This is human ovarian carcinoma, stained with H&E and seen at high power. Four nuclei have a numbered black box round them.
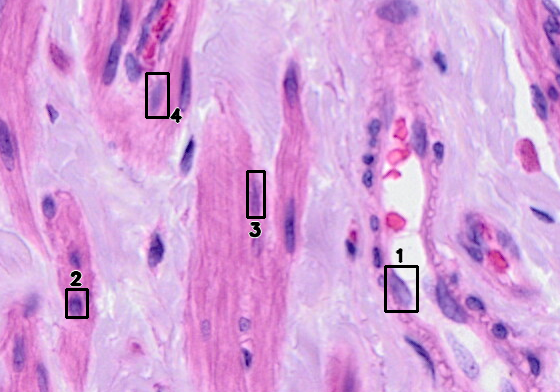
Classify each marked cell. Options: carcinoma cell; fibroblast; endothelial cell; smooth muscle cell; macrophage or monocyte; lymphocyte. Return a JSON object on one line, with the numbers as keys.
{"1": "endothelial cell", "2": "smooth muscle cell", "3": "smooth muscle cell", "4": "smooth muscle cell"}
